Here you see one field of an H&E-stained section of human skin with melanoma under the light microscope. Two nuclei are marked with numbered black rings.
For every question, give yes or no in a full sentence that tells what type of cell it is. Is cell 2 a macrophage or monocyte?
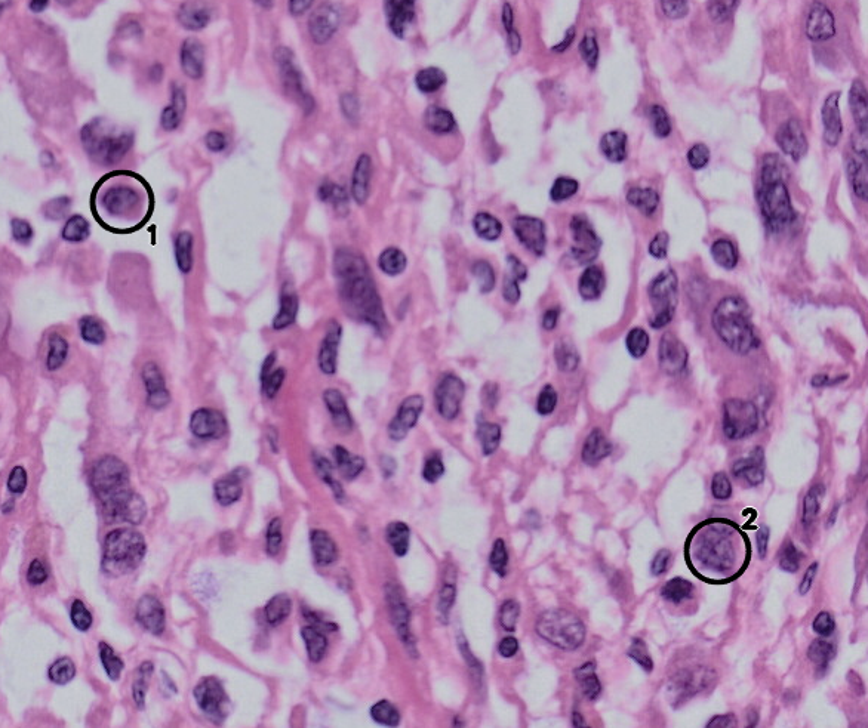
No, cell 2 isn't a macrophage or monocyte; it's a melanoma cell.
